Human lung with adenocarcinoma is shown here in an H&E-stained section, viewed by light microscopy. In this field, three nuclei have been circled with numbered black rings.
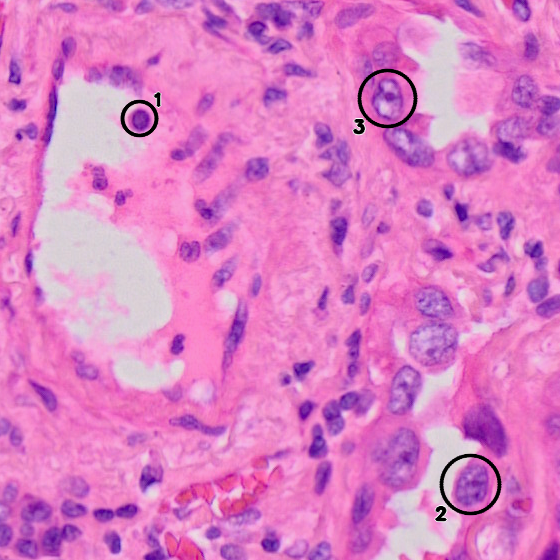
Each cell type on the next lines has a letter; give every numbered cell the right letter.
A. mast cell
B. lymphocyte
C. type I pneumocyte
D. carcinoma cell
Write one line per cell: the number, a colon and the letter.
1: B
2: D
3: D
